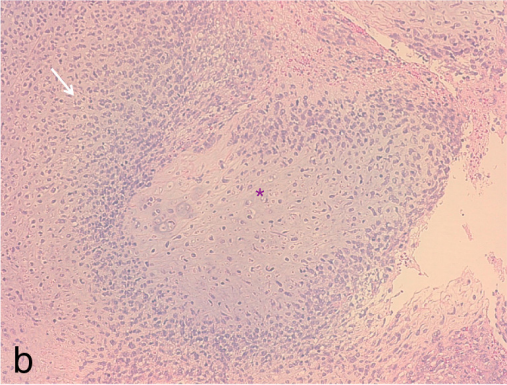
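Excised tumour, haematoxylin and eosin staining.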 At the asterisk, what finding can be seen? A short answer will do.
Atypical chondroid differentiation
